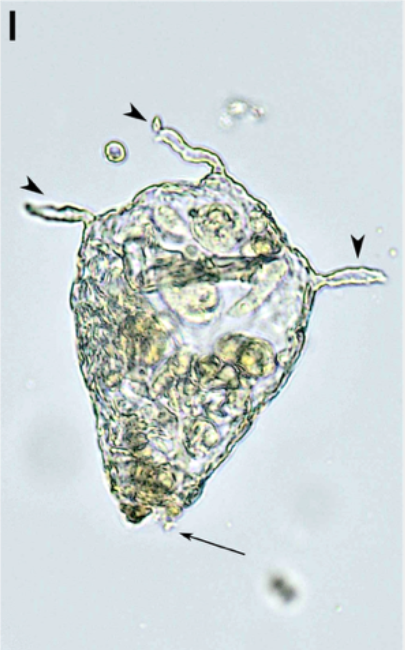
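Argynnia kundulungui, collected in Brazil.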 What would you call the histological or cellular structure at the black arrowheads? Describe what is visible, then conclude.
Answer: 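Horns. Long thin projections stick out from the shell surface. They are spaced around the broad part of the shell.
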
